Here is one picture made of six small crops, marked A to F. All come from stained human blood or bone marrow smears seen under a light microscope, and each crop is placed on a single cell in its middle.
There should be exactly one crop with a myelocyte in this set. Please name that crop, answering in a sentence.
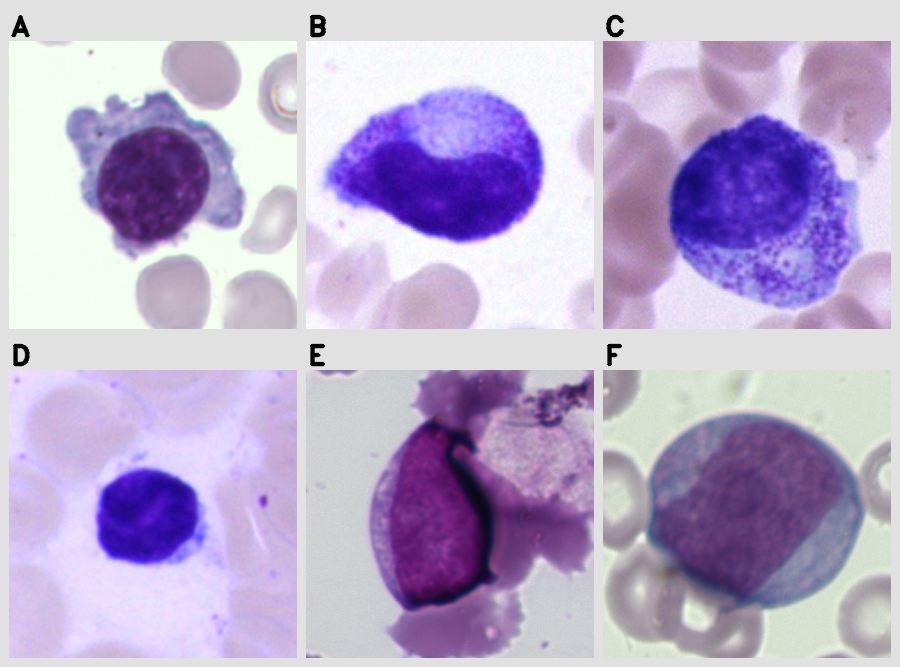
Crop C is where a myelocyte is shown.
